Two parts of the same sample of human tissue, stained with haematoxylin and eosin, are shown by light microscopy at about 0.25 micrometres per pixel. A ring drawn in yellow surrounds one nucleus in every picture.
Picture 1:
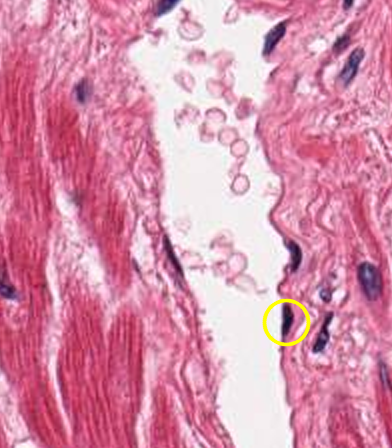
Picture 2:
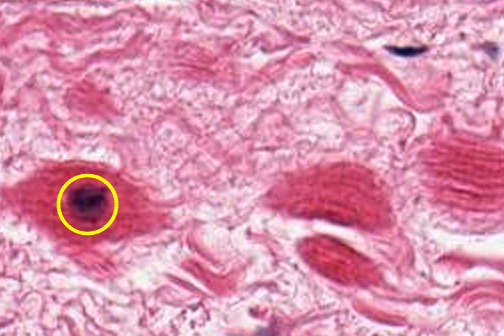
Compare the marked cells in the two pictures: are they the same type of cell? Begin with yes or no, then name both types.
No, the first is an endothelial cell and the second a cardiomyocyte.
